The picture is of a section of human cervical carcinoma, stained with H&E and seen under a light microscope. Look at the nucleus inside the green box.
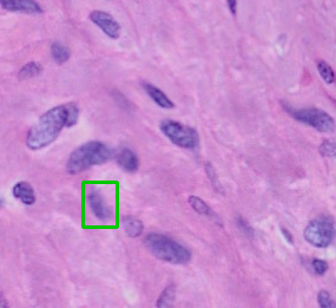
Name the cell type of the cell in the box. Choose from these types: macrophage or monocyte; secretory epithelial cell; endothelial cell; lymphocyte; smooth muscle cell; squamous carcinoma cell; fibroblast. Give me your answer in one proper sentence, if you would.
In terms of identity, the cell in the box is a fibroblast.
